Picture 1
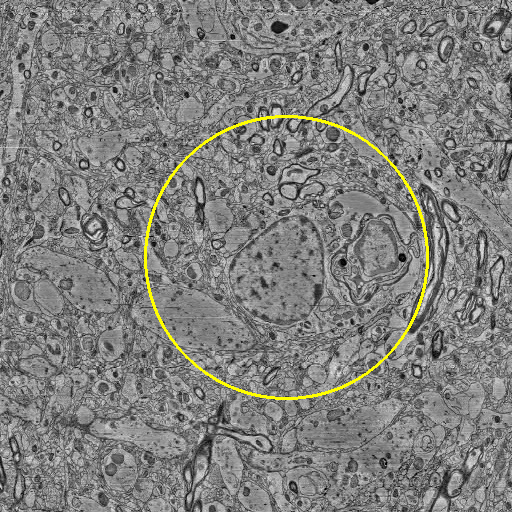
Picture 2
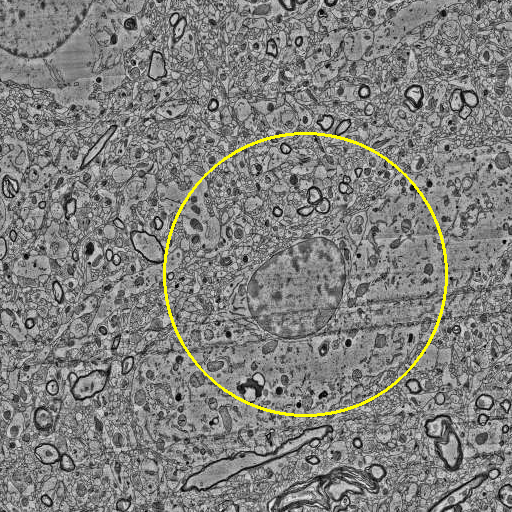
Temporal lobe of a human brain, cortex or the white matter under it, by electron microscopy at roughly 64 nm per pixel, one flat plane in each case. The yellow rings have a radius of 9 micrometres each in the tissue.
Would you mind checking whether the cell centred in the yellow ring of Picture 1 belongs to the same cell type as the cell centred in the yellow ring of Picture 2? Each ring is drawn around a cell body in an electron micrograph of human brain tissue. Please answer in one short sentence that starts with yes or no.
Yes, both cells are of the same type.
